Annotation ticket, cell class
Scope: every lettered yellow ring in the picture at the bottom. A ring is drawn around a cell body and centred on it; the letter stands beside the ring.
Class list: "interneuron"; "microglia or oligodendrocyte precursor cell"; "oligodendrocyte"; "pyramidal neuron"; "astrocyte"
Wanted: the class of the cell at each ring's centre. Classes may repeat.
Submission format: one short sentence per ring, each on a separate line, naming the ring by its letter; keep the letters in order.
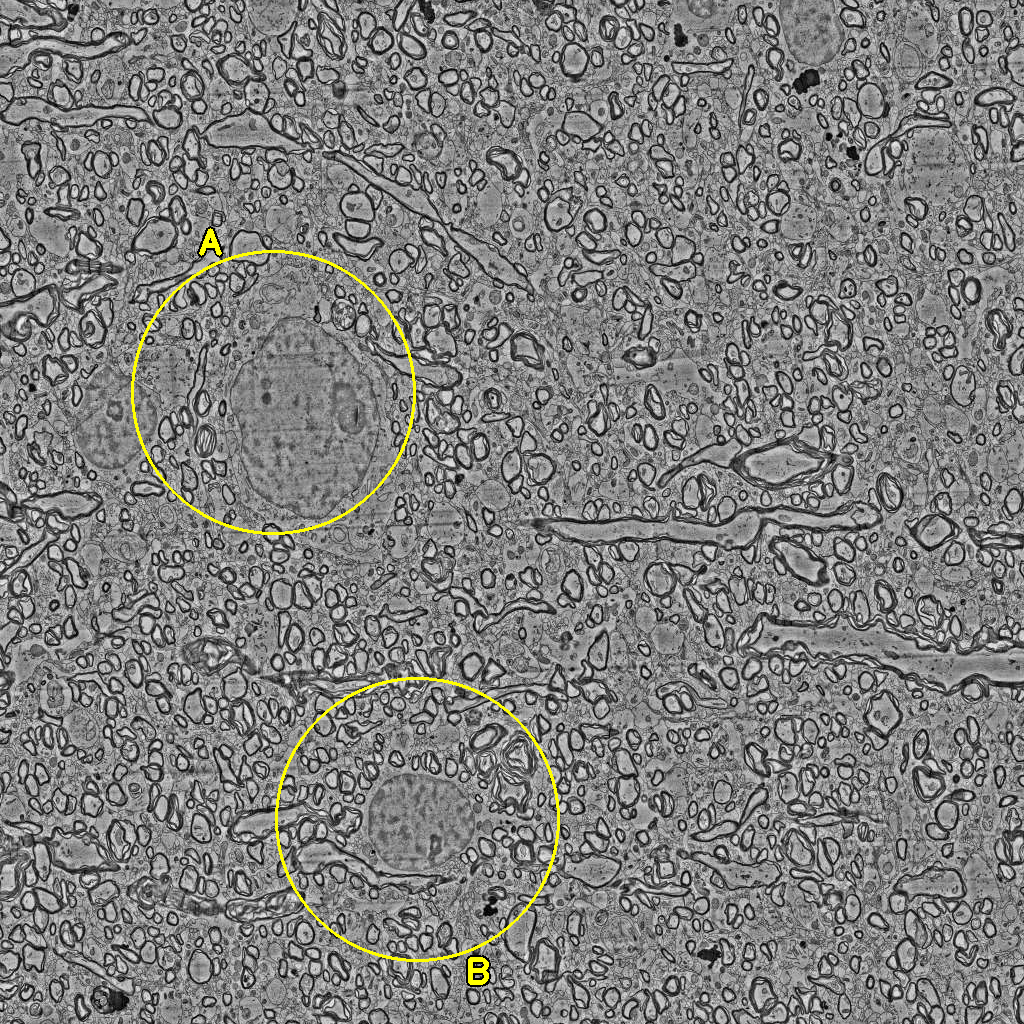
The centre of ring A is occupied by an interneuron.
The centre of ring B is occupied by an oligodendrocyte.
